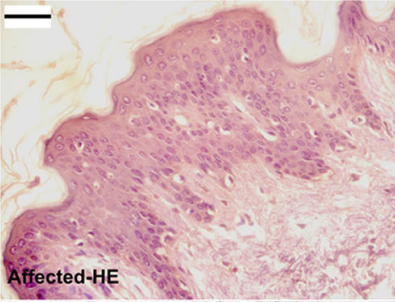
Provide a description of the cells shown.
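This is stratified epidermis of skin, made of many layers of keratinocytes resting on the dermis. The epidermal cells have pink cytoplasm and round to oval purple nuclei, packed closely together. The epidermis is thick and sends broad ridges down into the underlying connective tissue. Below, the dermis appears as loose, pale pink fibrous tissue with few nuclei.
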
